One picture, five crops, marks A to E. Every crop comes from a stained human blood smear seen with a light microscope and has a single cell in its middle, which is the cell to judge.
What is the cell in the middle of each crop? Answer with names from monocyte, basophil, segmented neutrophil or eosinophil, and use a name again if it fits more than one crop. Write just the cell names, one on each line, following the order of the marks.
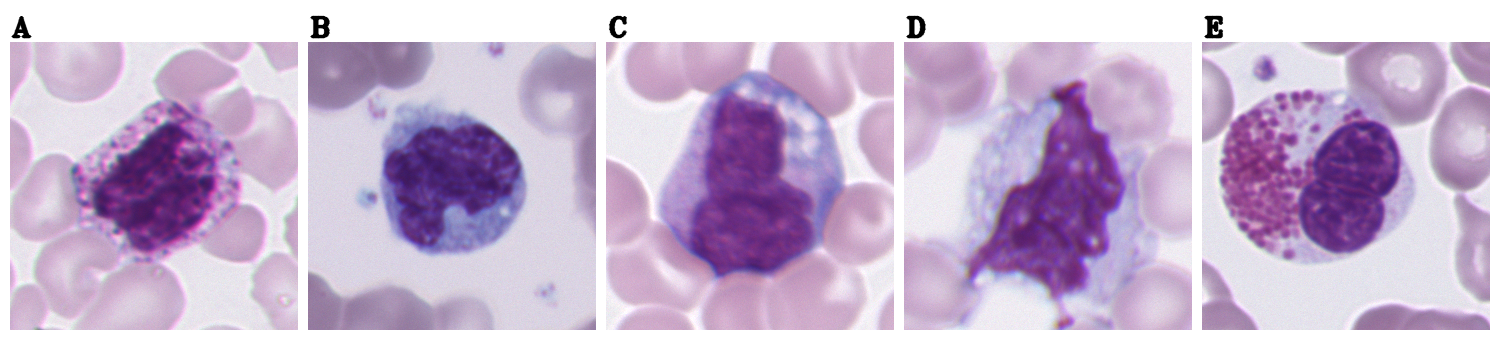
basophil
monocyte
monocyte
monocyte
eosinophil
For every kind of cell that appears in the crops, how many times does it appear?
monocyte: 3
basophil: 1
eosinophil: 1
